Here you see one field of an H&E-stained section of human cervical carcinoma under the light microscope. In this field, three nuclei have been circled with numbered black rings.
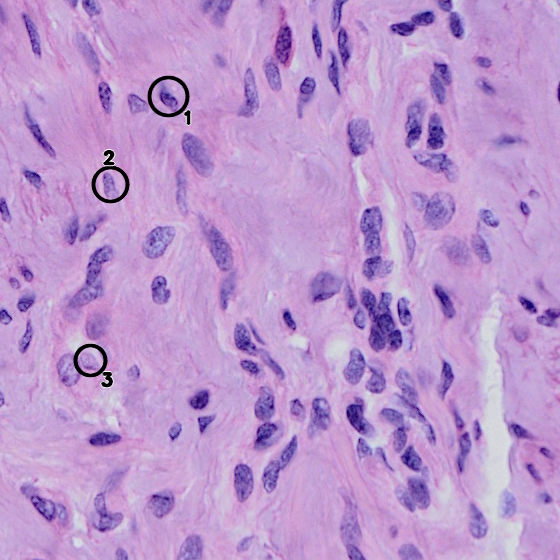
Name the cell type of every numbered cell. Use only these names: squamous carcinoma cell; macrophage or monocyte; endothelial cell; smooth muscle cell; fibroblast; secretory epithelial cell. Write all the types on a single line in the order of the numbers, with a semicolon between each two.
fibroblast; fibroblast; endothelial cell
